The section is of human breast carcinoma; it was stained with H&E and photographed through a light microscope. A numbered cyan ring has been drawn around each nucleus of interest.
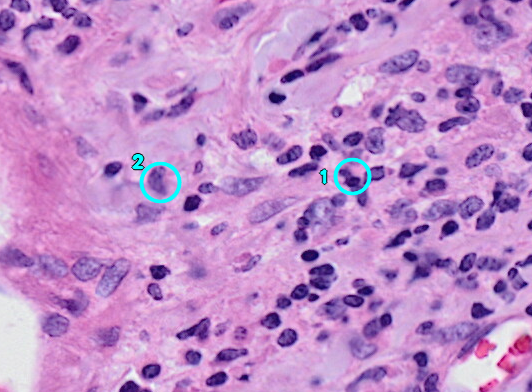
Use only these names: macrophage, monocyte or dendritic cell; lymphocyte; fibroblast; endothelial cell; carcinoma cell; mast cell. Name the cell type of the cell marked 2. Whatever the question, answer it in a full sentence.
The nucleus with number 2 is that of a mast cell.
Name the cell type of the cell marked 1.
What the number 1 marks in this field is a lymphocyte.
